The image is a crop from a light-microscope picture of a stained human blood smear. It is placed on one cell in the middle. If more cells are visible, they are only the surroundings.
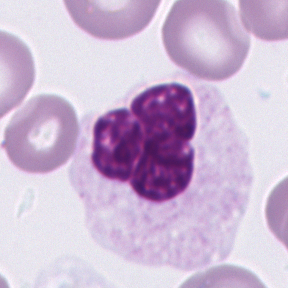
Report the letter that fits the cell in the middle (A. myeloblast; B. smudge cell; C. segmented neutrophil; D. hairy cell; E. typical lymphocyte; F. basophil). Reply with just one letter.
C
